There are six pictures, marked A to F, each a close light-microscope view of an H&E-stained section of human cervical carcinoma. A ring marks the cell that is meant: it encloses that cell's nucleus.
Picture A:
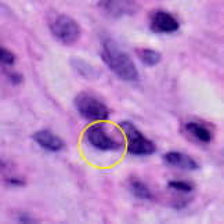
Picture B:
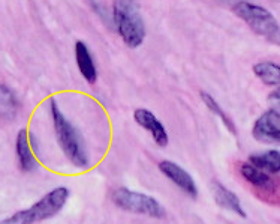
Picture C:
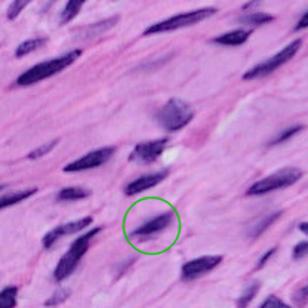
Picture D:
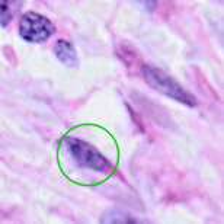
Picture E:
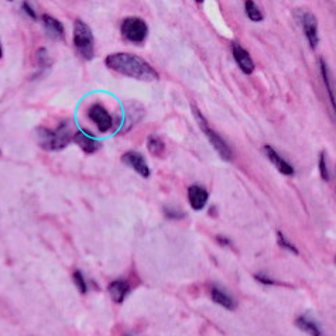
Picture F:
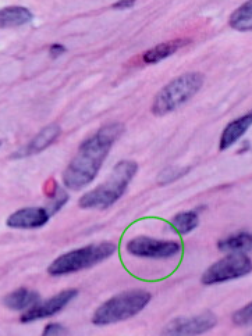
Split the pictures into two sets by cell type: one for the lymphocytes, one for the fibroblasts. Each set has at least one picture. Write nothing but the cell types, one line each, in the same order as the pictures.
lymphocyte
fibroblast
fibroblast
fibroblast
lymphocyte
fibroblast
